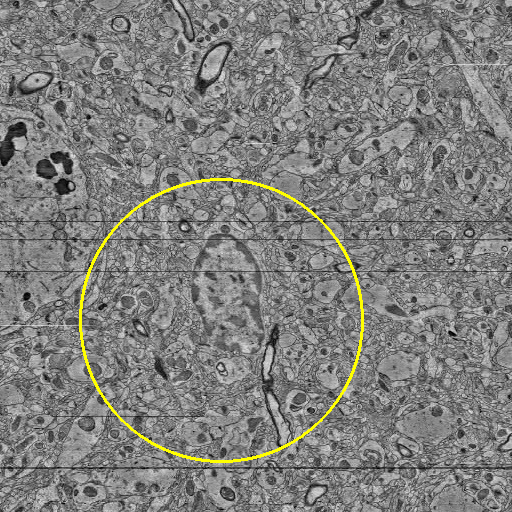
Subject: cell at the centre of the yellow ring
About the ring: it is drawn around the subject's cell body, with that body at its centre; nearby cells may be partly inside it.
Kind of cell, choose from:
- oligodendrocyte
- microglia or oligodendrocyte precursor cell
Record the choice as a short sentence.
The subject cell is a microglial cell or oligodendrocyte precursor cell.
